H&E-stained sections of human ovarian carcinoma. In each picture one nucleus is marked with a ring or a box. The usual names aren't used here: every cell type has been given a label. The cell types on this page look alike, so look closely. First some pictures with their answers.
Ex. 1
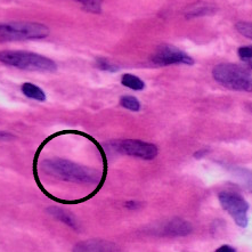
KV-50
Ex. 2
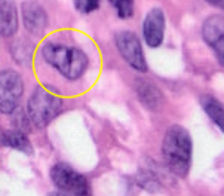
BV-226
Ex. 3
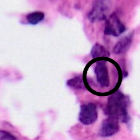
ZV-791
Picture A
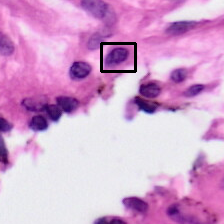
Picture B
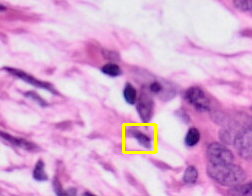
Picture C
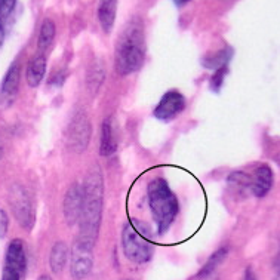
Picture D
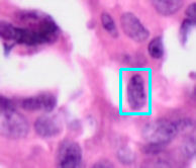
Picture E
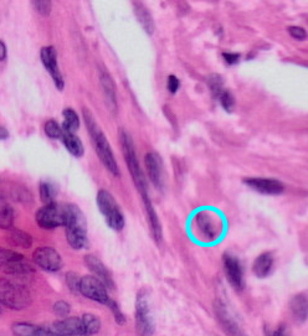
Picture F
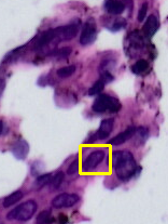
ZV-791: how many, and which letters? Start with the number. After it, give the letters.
1, namely F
